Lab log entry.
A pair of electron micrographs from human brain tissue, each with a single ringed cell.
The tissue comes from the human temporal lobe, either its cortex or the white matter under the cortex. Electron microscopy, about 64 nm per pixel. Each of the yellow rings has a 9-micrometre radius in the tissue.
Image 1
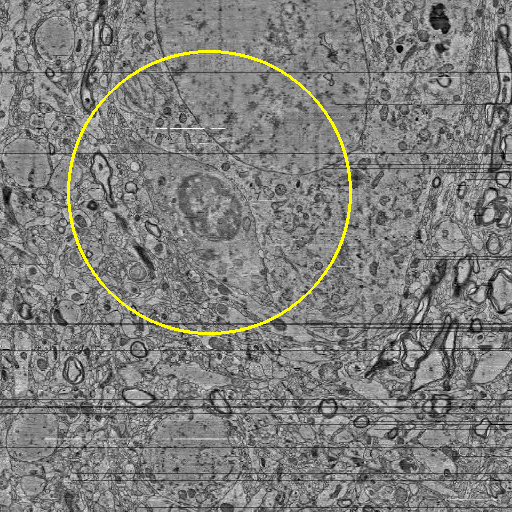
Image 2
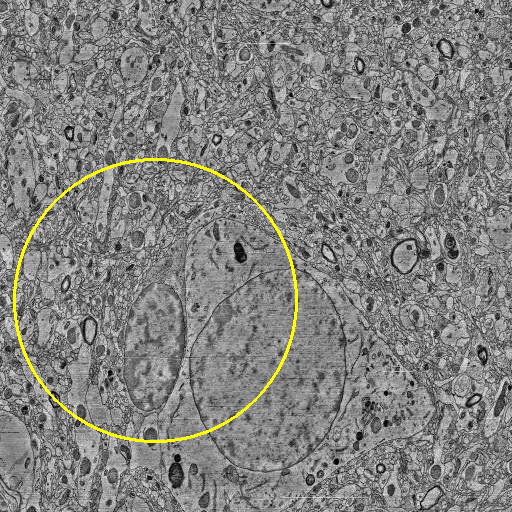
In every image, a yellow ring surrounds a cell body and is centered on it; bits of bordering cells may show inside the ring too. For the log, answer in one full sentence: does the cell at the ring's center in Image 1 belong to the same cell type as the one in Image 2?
Yes, the cells at the ring centers in Image 1 and Image 2 share one type.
